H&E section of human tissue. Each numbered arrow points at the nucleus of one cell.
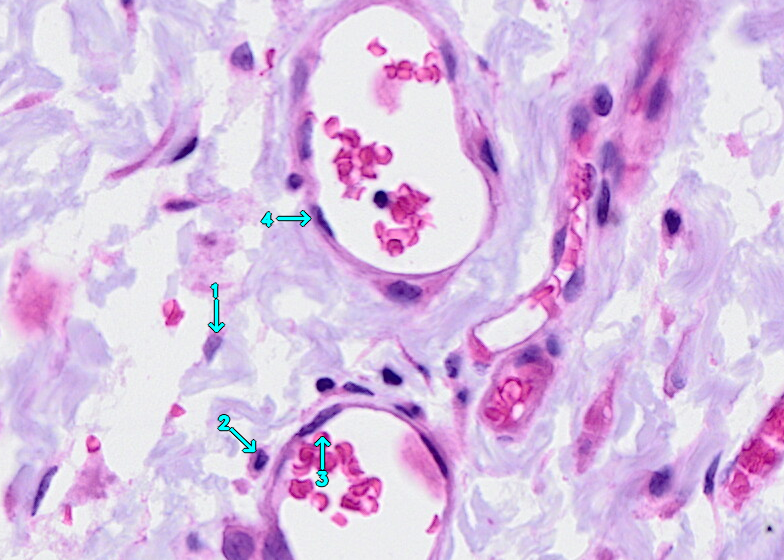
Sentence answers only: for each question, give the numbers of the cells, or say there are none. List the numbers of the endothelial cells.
Cells 3 and 4 are of one type, namely endothelial cells.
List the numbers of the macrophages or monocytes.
Exactly one numbered cell is a macrophage or monocyte, and that cell is number 2.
